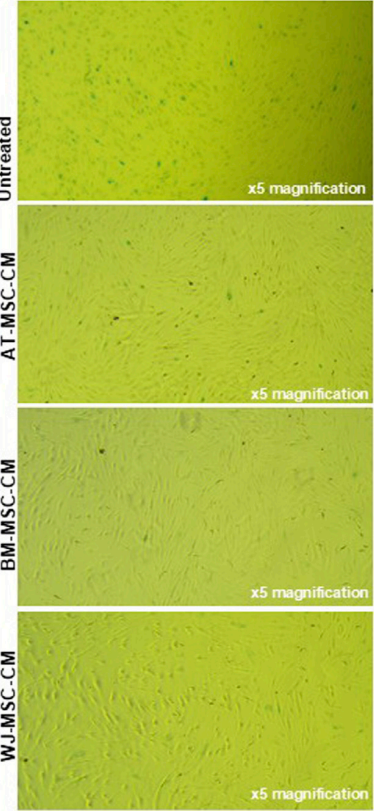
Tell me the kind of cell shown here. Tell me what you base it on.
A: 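Elongated spindle-shaped cells with tapering ends. The cells are spread in a monolayer. That points to this answer: fibroblasts.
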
